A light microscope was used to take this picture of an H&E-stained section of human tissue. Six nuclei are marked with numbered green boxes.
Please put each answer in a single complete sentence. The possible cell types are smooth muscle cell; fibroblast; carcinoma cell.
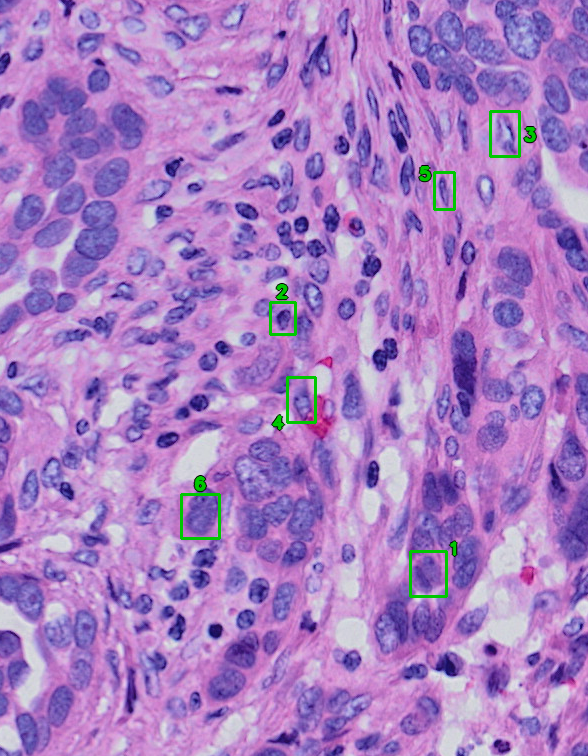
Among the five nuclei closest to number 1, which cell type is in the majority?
Carcinoma cells account for more than half of the five nuclei nearest to number 1.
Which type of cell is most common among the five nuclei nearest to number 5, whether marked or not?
The majority of the five nuclei closest to number 5 belong to fibroblasts.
